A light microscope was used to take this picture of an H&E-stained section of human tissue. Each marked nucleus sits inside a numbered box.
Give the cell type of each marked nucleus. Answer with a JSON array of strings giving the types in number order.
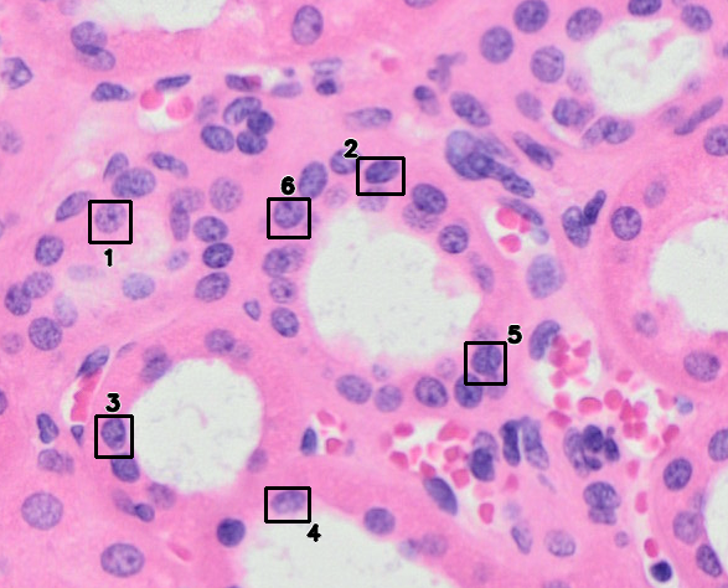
["collecting duct cell", "collecting duct cell", "loop of Henle or distal tubule cell", "loop of Henle or distal tubule cell", "collecting duct cell", "collecting duct cell"]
